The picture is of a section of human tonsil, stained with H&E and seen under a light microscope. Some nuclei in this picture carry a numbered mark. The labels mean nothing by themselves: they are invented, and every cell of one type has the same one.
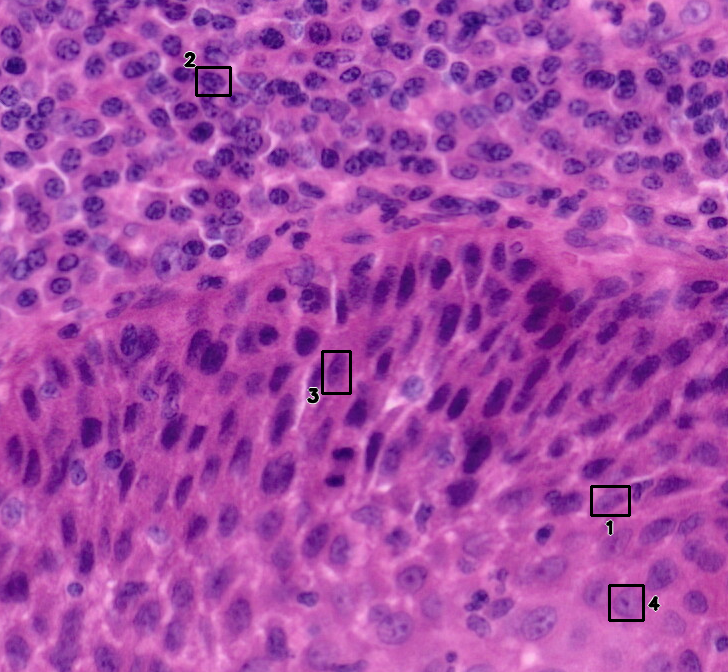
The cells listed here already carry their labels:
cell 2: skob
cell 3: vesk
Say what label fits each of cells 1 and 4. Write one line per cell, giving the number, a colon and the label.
1: vesk
4: vesk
